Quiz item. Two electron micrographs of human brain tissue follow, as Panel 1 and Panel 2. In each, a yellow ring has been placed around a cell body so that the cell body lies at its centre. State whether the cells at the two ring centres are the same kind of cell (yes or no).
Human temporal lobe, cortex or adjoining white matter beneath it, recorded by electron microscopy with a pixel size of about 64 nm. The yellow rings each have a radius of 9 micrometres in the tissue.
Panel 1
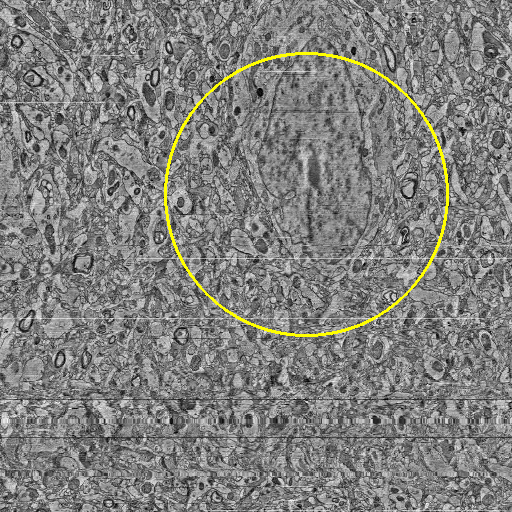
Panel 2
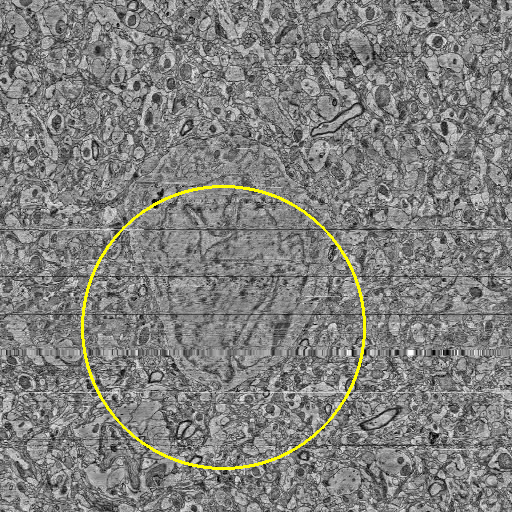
yes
